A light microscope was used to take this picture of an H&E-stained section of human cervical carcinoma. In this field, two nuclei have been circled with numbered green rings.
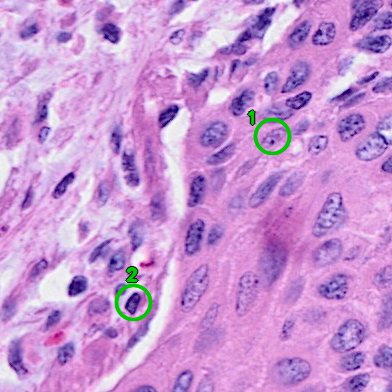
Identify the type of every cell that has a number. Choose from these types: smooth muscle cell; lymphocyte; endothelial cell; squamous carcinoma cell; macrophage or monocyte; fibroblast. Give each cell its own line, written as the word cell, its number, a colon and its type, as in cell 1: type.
cell 1: squamous carcinoma cell
cell 2: lymphocyte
